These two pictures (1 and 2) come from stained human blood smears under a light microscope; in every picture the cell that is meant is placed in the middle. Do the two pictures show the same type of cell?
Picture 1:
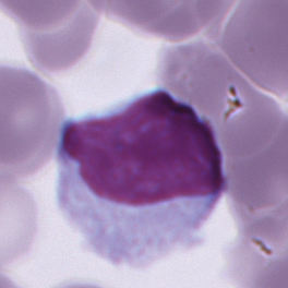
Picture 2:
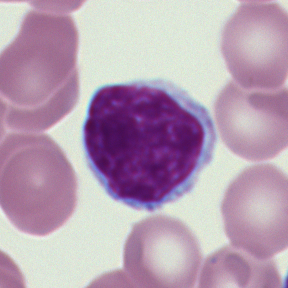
yes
